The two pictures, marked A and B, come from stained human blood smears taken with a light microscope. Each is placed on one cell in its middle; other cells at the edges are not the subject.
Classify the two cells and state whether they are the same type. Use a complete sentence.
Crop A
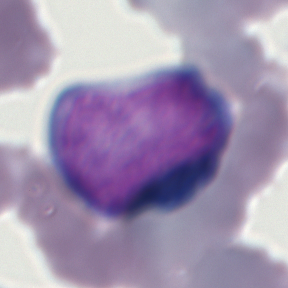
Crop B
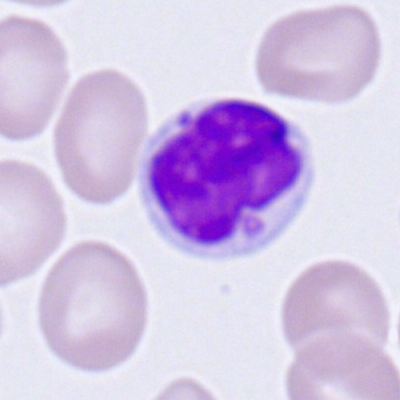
No, crop A is where a blast is shown, and crop B is where a lymphocyte is shown.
